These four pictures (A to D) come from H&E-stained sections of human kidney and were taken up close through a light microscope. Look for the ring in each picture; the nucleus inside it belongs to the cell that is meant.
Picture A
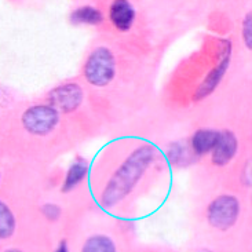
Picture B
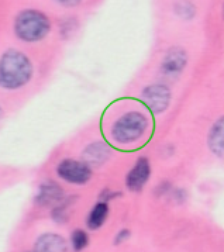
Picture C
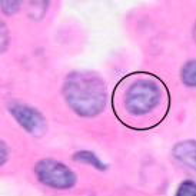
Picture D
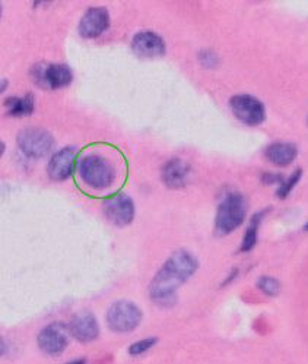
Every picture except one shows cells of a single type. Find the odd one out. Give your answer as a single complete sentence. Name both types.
All pictures except C show collecting duct cells; picture C shows a “loop of Henle or distal tubule cell”.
